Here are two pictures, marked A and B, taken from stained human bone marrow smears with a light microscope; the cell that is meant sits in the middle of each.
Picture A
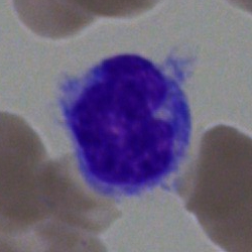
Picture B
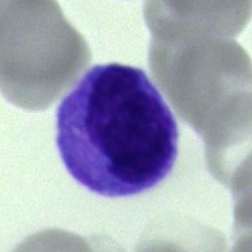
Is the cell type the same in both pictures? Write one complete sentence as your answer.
Yes, they are the same type: both are monocytes.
